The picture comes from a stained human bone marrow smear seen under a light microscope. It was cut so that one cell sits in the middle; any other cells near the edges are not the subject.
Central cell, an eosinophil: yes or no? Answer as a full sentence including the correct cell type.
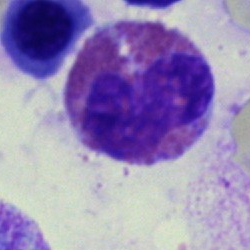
Yes, in the centre of this field sits an eosinophil.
